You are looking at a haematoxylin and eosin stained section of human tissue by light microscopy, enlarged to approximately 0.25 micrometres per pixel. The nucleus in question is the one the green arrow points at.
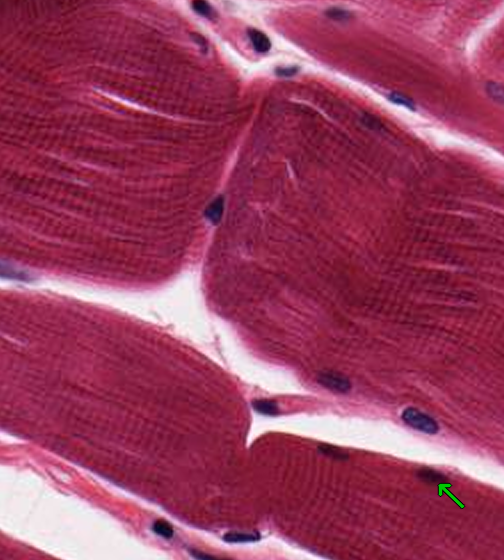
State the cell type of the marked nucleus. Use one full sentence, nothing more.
What the marked nucleus belongs to is a skeletal muscle fibre.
